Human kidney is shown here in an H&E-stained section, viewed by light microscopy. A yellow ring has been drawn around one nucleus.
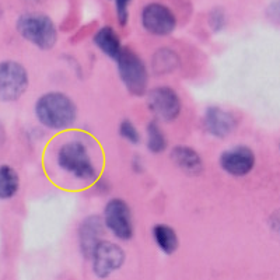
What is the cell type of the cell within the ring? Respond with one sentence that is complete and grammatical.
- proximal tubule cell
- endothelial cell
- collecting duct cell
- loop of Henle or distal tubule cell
Just put down that the cell within the ring is a collecting duct cell.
